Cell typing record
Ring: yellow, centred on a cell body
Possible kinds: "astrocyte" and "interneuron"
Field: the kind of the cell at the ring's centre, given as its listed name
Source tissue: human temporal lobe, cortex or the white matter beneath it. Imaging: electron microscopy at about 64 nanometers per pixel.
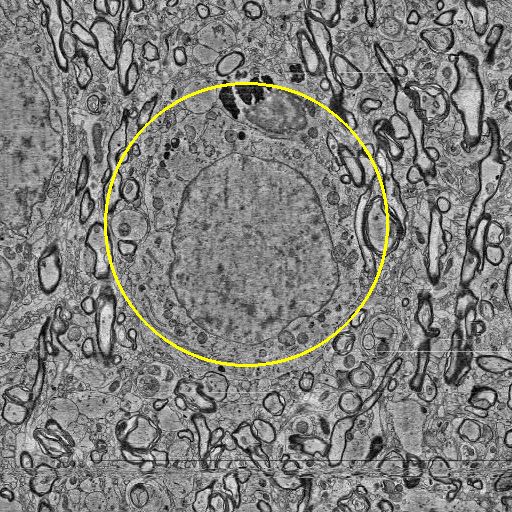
interneuron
